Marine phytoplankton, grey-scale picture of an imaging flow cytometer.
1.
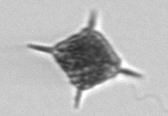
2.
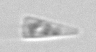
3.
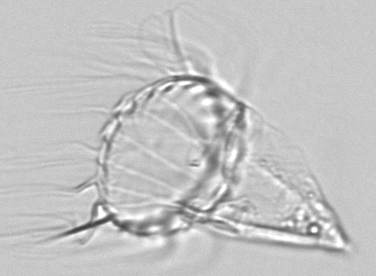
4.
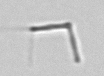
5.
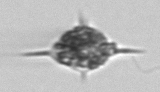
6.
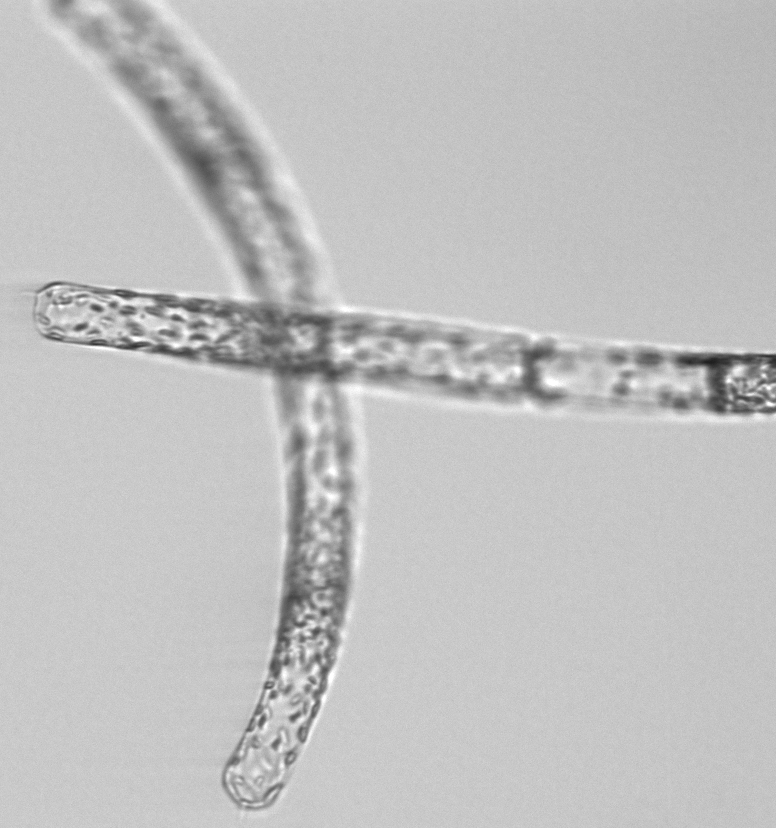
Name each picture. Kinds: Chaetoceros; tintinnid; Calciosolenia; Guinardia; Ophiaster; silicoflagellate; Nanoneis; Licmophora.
(1) silicoflagellate
(2) Licmophora
(3) tintinnid
(4) Nanoneis
(5) silicoflagellate
(6) Guinardia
